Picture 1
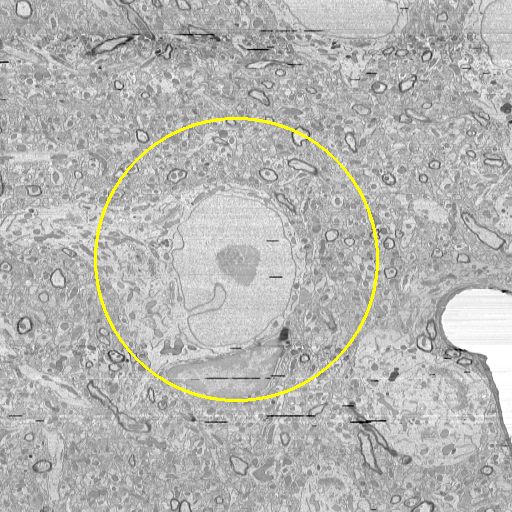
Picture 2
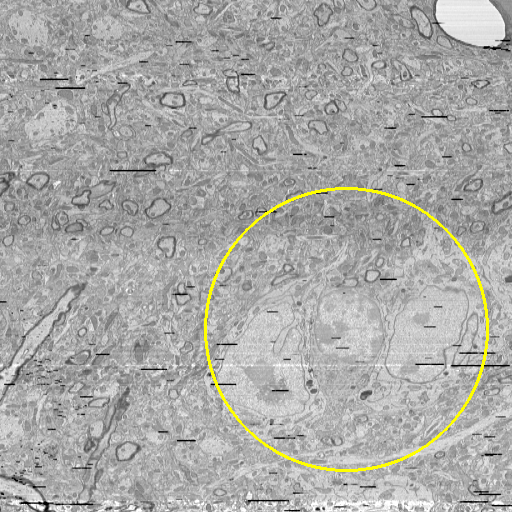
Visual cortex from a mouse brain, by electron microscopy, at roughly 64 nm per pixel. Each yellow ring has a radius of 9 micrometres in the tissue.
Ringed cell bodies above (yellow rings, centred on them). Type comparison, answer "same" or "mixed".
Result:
mixed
